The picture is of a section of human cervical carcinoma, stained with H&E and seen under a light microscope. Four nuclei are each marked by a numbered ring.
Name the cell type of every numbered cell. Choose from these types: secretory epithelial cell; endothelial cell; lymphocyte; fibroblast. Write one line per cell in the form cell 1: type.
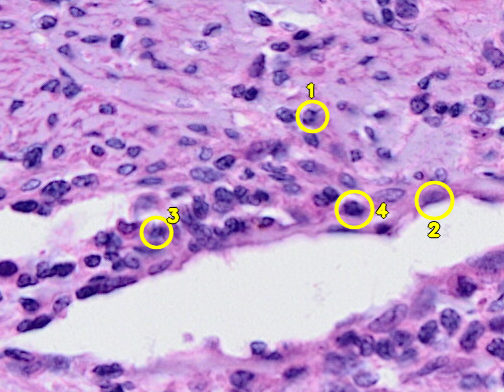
cell 1: lymphocyte
cell 2: endothelial cell
cell 3: lymphocyte
cell 4: lymphocyte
